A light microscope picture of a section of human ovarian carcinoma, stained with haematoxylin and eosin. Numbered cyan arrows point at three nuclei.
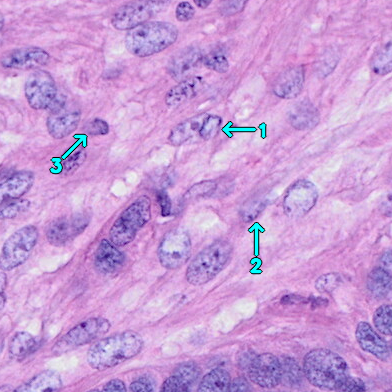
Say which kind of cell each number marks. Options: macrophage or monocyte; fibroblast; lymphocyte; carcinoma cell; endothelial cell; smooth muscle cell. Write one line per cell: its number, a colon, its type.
1: fibroblast
2: fibroblast
3: macrophage or monocyte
